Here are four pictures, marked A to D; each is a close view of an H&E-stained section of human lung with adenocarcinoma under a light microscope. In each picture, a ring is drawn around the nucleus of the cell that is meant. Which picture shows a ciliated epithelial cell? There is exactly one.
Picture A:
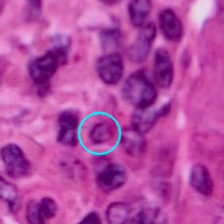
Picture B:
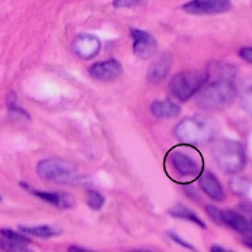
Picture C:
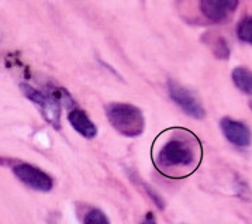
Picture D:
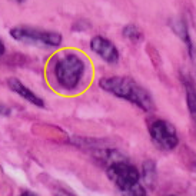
B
